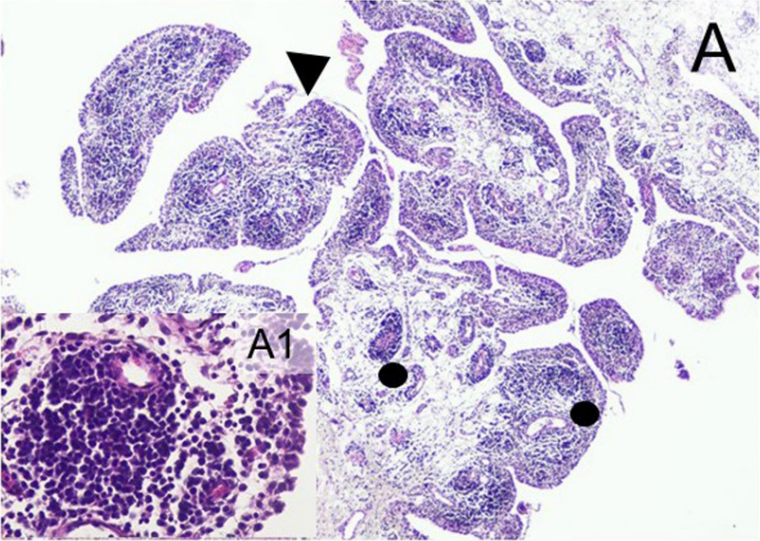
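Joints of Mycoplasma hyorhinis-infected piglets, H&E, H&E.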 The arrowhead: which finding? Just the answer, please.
Fibrin exudates.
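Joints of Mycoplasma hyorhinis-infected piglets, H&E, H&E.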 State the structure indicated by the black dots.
Perivascular lymphoid follicles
